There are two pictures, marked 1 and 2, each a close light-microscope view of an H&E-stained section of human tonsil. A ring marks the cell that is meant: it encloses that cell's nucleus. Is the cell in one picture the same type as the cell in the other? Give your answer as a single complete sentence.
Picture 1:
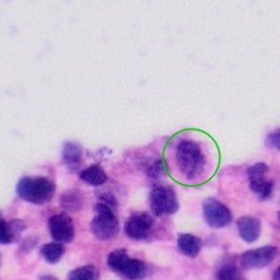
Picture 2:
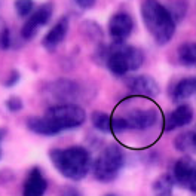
Yes, they are the same type: both are proliferating B cells.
